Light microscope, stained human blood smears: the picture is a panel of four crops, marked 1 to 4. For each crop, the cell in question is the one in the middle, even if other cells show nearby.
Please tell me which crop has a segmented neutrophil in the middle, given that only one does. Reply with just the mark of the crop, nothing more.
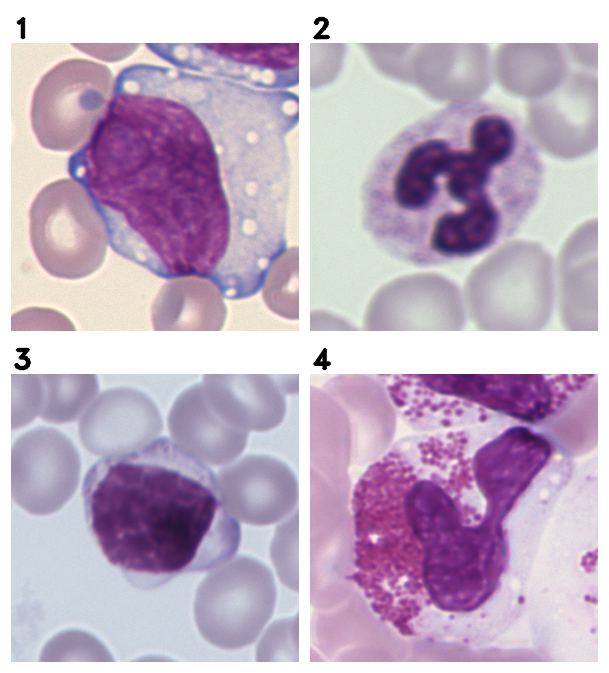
2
